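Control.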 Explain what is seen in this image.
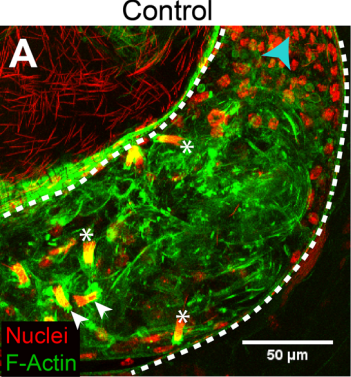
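A curved region of testis is bounded by white dashed lines, with many small round red nuclei crowded along its outer edge and a dense meshwork of green actin filaments filling the interior. Scattered through the interior are compact, elongated bundles of needle-like red nuclei, each capped at one end by a bright green to yellow patch of actin. These bundles are the clustered heads of spermatids, and the actin cap marks the end they point with. The bundles lie at different angles, some aligned one way and others turned the opposite way.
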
